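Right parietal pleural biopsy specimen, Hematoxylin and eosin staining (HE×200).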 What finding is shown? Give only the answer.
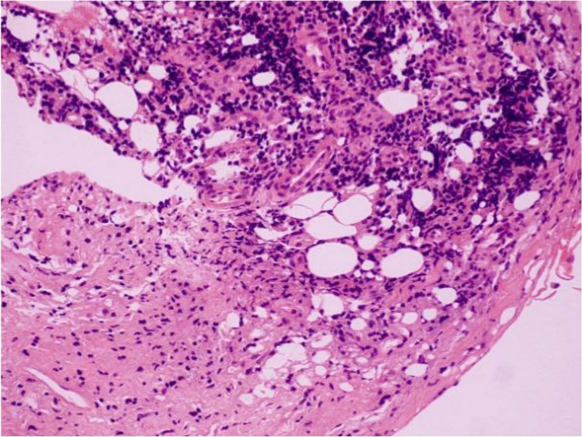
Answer: Lymphoplasmacytic and plasma cell infiltration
